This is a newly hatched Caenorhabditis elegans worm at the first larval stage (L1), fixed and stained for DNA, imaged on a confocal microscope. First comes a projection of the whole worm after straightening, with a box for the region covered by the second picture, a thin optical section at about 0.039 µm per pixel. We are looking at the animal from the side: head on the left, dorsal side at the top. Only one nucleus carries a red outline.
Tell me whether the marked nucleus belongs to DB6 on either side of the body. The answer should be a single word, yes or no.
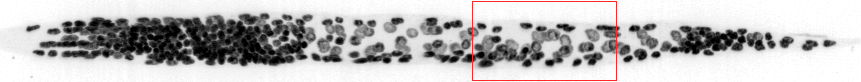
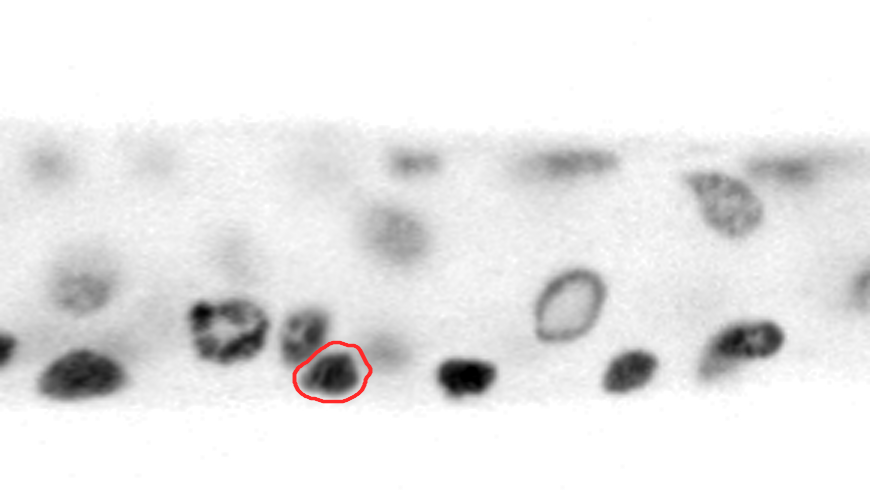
no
